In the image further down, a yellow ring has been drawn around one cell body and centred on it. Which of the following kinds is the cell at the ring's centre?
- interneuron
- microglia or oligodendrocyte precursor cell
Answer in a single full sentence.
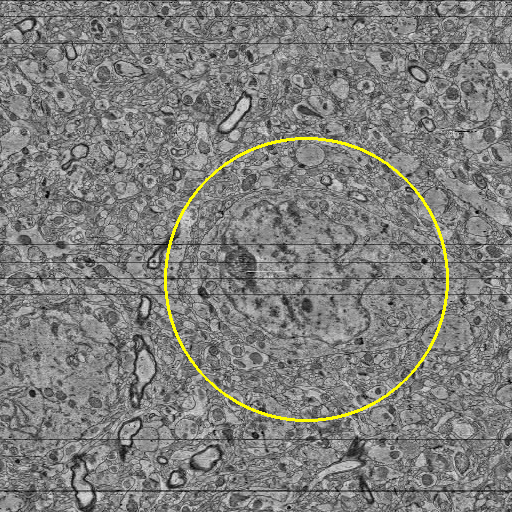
In the picture, the cell sitting at the centre of the yellow ring is an interneuron.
